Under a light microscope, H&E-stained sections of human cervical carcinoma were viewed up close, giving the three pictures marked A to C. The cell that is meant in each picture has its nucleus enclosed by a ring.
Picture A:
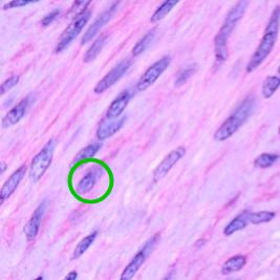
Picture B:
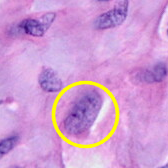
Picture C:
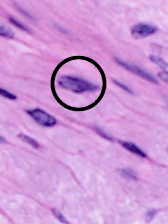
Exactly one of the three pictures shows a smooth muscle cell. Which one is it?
A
